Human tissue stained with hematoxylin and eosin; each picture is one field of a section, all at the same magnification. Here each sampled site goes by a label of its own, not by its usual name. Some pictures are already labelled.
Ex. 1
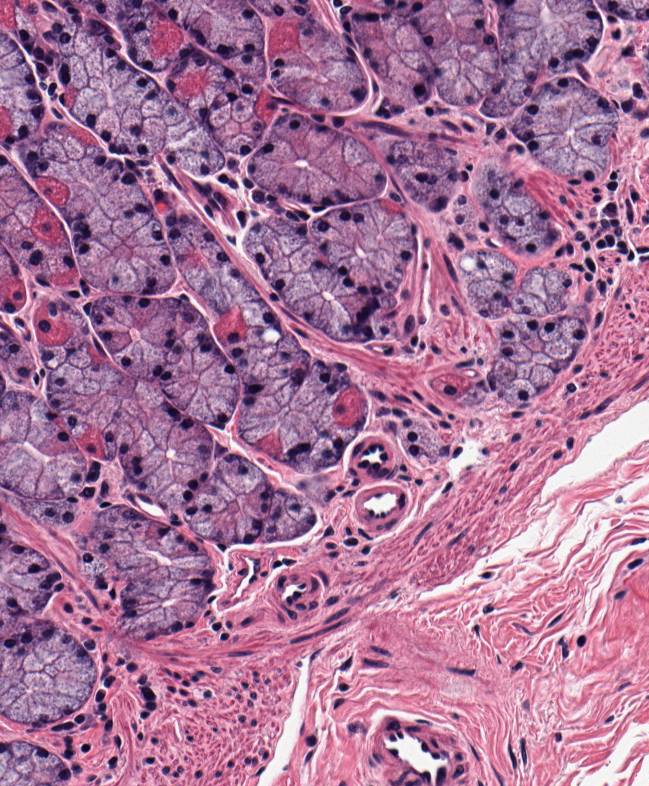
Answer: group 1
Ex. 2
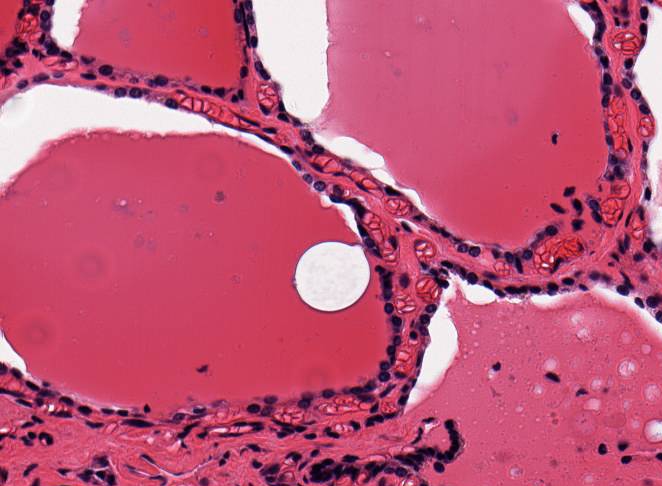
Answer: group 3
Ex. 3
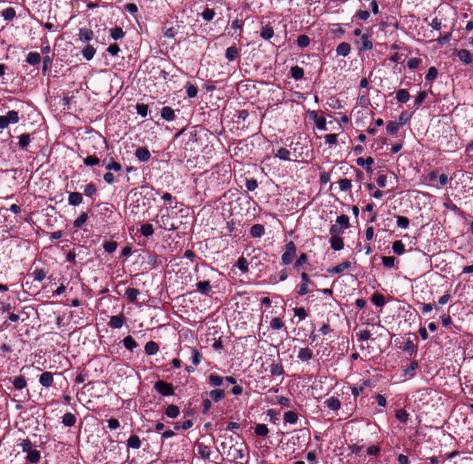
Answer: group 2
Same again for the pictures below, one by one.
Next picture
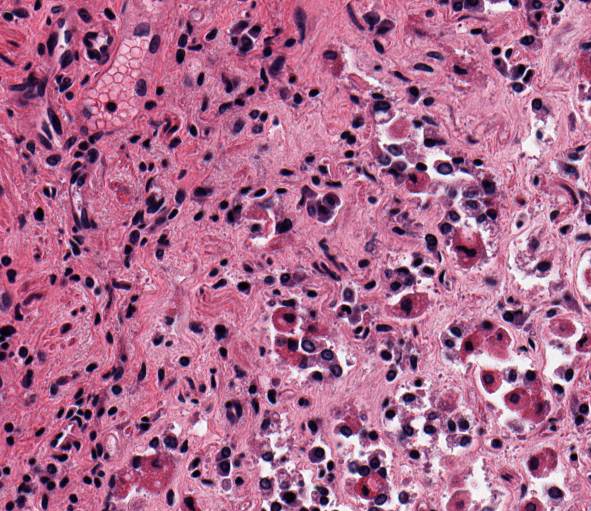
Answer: group 1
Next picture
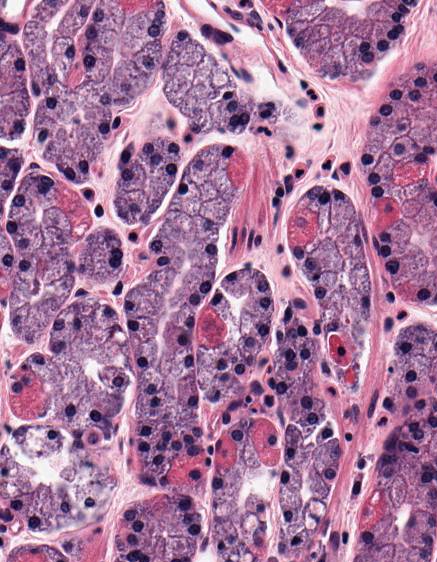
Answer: group 1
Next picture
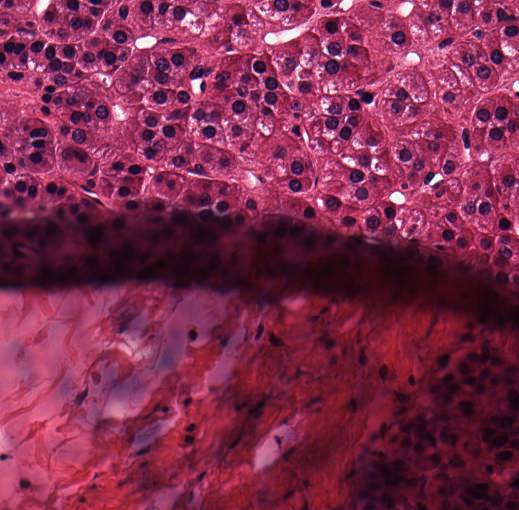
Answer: group 2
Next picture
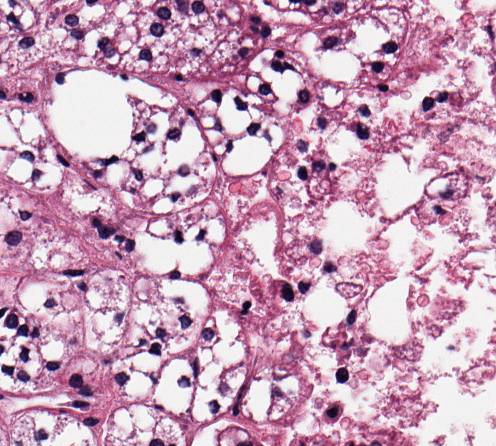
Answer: group 2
